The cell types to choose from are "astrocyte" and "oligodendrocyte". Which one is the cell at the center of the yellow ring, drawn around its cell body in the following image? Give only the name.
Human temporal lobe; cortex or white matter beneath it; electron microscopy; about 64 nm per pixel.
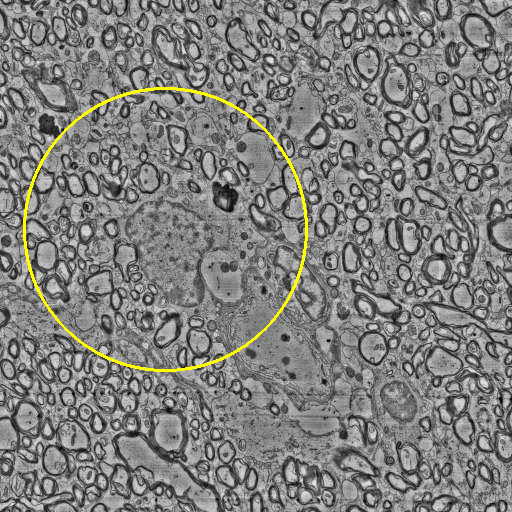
oligodendrocyte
